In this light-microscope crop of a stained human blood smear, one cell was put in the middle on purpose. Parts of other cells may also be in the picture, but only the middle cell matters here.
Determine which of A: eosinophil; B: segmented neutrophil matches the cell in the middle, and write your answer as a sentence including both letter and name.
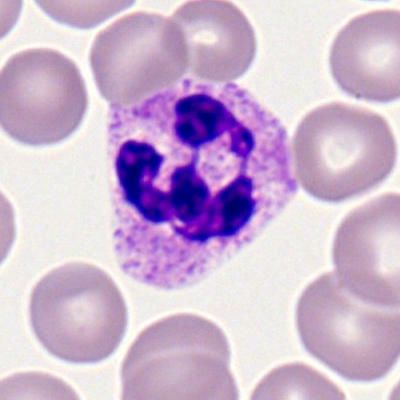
Option B is correct; the cell in the middle is a segmented neutrophil.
